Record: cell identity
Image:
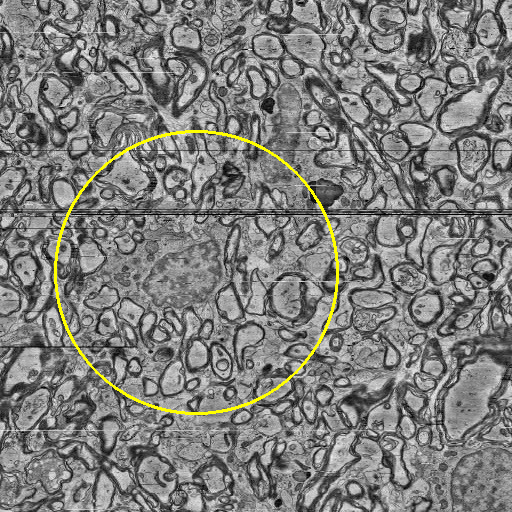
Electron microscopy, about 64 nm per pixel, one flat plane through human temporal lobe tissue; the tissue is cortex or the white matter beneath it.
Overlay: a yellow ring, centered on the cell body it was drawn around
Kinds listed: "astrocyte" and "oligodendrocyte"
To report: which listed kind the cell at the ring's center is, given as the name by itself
oligodendrocyte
